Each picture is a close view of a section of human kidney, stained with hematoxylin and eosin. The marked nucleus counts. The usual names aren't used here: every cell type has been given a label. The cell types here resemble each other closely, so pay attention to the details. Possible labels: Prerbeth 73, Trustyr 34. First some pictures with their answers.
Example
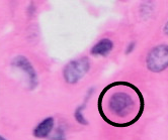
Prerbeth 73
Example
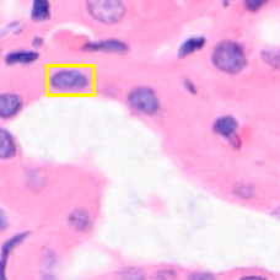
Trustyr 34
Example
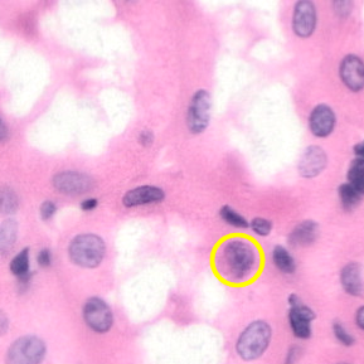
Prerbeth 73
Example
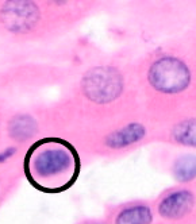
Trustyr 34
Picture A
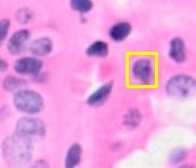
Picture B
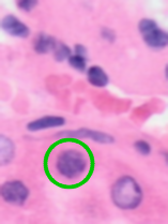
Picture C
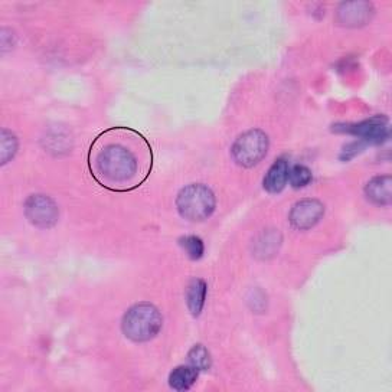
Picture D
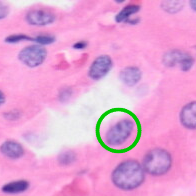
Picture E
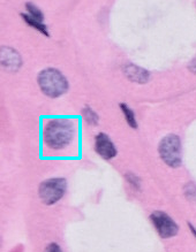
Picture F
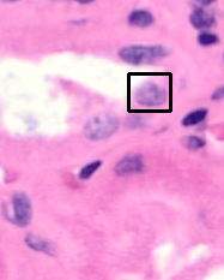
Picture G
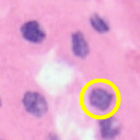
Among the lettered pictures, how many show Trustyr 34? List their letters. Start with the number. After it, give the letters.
5, namely A, D, E, F, G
